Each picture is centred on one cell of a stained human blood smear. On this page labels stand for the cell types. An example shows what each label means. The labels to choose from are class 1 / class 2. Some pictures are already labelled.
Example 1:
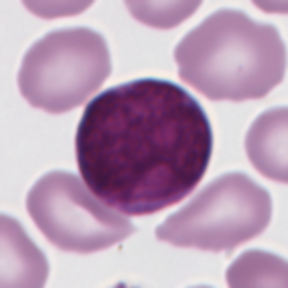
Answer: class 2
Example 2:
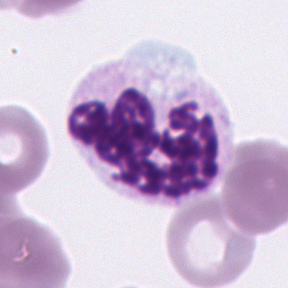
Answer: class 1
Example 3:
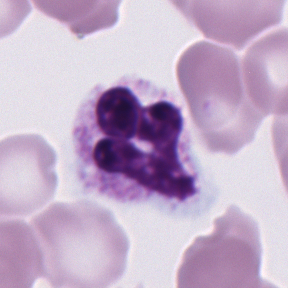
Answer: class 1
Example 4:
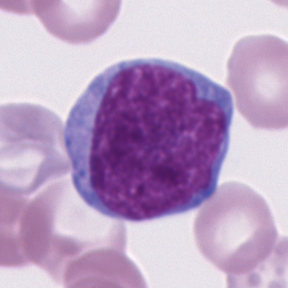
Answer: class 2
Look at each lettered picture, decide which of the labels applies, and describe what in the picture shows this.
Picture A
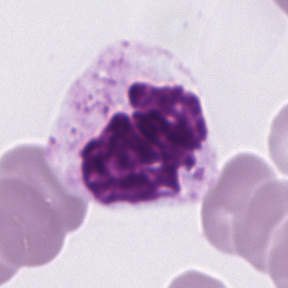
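class 1. Evidence: The nucleus is folded into overlapping lobes separated by narrow clefts.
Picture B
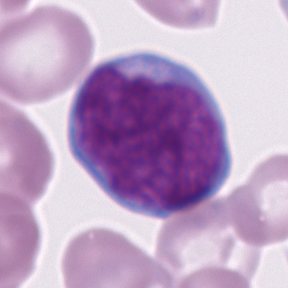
class 2. Evidence: The cytoplasm forms only a thin rim around the nucleus.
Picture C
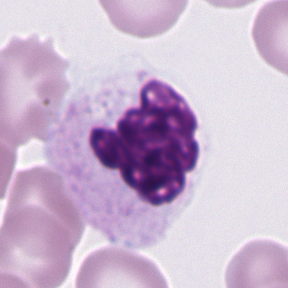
class 1. Evidence: The nucleus is a compact cluster of several tightly folded lobes.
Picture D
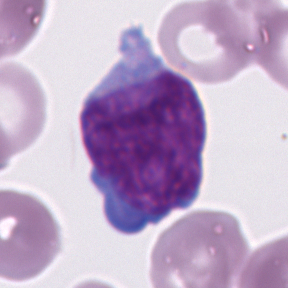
class 2. Evidence: The scant cytoplasm shows mainly as caps at the top and lower left of the nucleus.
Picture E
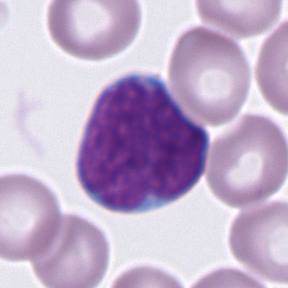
class 2. Evidence: The cytoplasm is a scant pale blue rim, most visible at the lower edge.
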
